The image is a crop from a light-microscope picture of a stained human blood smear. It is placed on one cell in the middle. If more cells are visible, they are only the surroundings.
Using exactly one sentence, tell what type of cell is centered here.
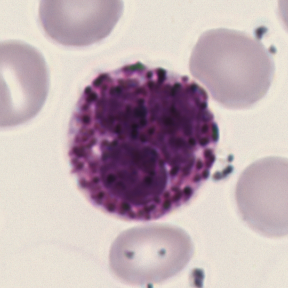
At the middle of the frame sits a basophil.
